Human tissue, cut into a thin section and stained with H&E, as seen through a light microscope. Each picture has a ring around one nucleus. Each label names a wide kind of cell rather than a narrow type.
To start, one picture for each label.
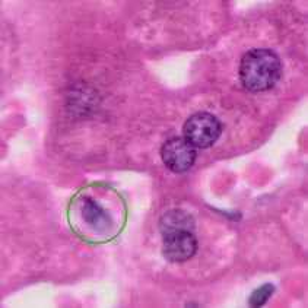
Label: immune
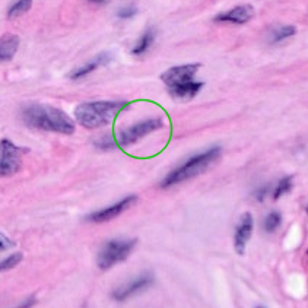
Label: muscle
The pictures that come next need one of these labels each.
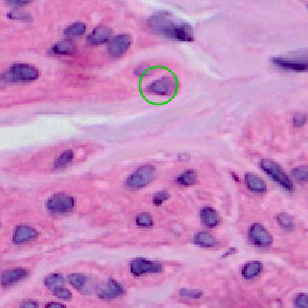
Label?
muscle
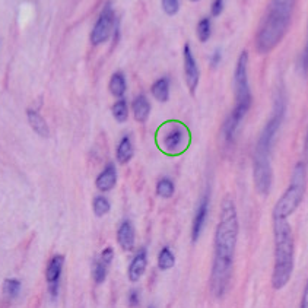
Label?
muscle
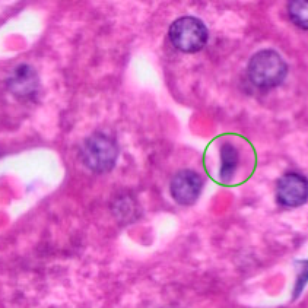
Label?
immune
